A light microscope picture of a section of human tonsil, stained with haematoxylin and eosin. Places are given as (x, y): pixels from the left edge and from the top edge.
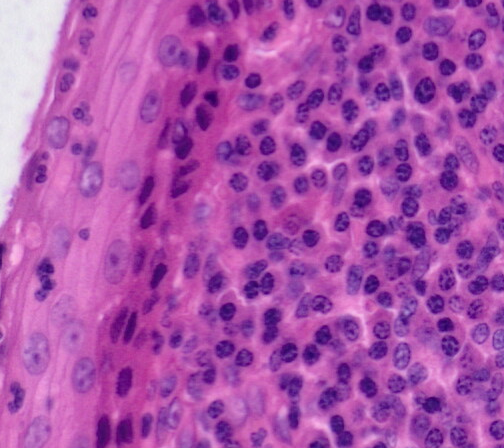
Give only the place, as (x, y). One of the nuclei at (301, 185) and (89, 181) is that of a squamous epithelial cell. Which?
(89, 181)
